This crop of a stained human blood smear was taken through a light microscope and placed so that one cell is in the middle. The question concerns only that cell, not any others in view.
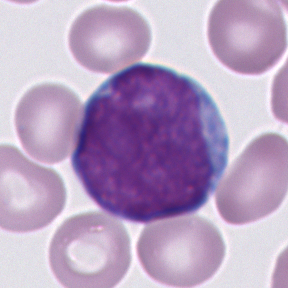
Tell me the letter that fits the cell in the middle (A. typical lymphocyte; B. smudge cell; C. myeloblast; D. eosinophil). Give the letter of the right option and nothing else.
C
